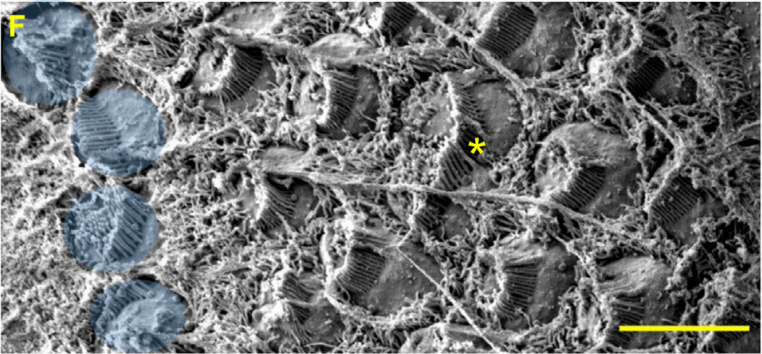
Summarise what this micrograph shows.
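This is the cochlear sensory epithelium seen from above, with blue-tinted inner hair cells along one edge and many outer hair cells beyond them. The hair cells vary in size and their stereocilia bundles point in differing directions, unlike the orderly rows of a normal epithelium. One large cell carries more than one group of stereocilia rows, as if two cells had fused.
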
